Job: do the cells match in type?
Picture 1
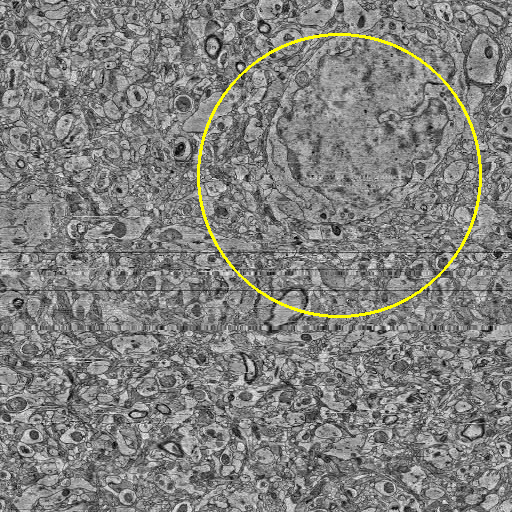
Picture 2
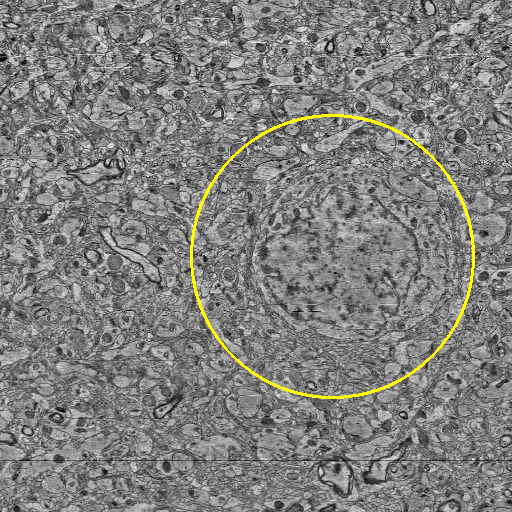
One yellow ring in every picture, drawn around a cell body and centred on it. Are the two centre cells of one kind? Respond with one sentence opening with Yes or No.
Yes, the ringed cells in the two pictures are of one and the same kind.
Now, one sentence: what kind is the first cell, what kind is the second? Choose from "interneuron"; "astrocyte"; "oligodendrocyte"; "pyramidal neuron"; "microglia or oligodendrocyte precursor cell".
Each of the two pictures has an interneuron at the ring centre.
